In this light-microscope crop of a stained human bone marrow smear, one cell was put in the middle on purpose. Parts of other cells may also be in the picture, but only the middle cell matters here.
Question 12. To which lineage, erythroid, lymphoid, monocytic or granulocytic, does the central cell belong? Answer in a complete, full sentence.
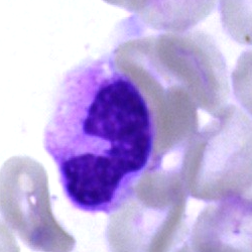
The correct lineage for the cell at the center is the granulocytic one.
